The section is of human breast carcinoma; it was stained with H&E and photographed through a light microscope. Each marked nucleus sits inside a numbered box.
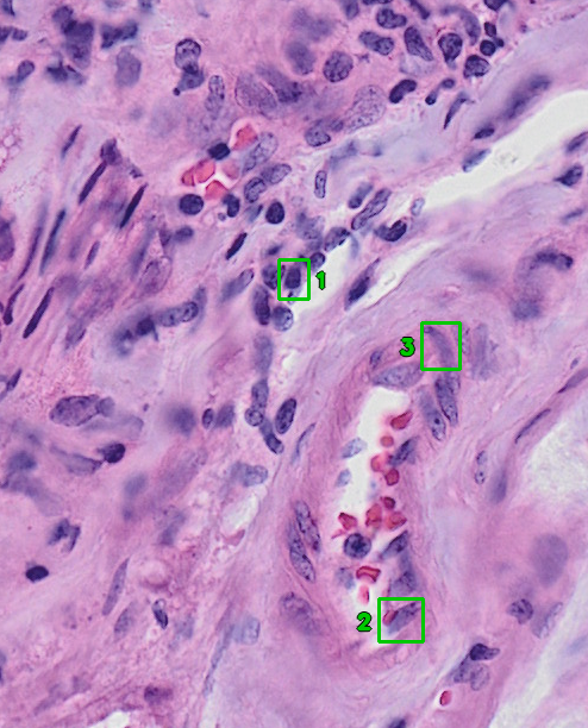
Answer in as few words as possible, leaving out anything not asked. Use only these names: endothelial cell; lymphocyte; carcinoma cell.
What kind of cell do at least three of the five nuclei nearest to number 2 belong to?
endothelial cell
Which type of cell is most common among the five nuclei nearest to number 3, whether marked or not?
endothelial cell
